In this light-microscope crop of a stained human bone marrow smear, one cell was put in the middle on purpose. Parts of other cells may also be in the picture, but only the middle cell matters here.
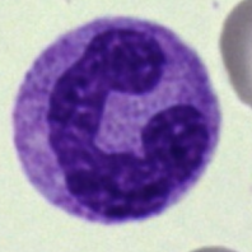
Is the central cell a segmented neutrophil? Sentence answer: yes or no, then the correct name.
Yes, a segmented neutrophil is what the central cell is.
